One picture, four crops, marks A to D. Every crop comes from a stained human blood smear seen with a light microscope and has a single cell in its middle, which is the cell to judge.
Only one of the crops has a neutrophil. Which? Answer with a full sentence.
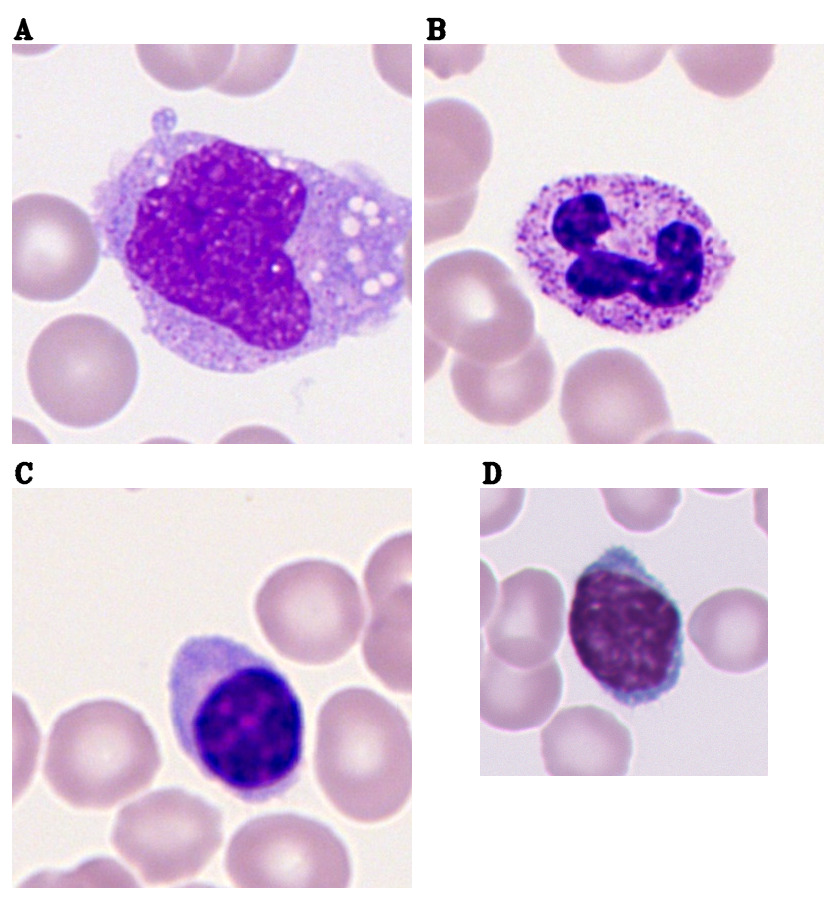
Of all the crops, crop B is the one showing a neutrophil.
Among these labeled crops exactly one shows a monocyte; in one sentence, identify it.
Crop A, and no other, is the one that shows a monocyte.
